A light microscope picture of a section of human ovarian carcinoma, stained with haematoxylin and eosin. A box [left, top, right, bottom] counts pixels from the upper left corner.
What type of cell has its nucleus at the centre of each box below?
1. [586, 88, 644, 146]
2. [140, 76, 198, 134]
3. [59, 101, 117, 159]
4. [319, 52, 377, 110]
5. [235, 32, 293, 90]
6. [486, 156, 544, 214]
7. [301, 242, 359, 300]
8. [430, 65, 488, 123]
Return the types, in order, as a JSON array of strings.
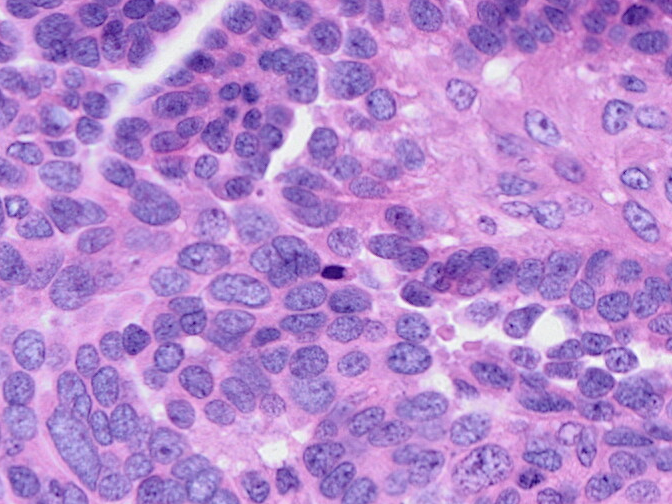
["fibroblast", "carcinoma cell", "carcinoma cell", "carcinoma cell", "carcinoma cell", "fibroblast", "carcinoma cell", "fibroblast"]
